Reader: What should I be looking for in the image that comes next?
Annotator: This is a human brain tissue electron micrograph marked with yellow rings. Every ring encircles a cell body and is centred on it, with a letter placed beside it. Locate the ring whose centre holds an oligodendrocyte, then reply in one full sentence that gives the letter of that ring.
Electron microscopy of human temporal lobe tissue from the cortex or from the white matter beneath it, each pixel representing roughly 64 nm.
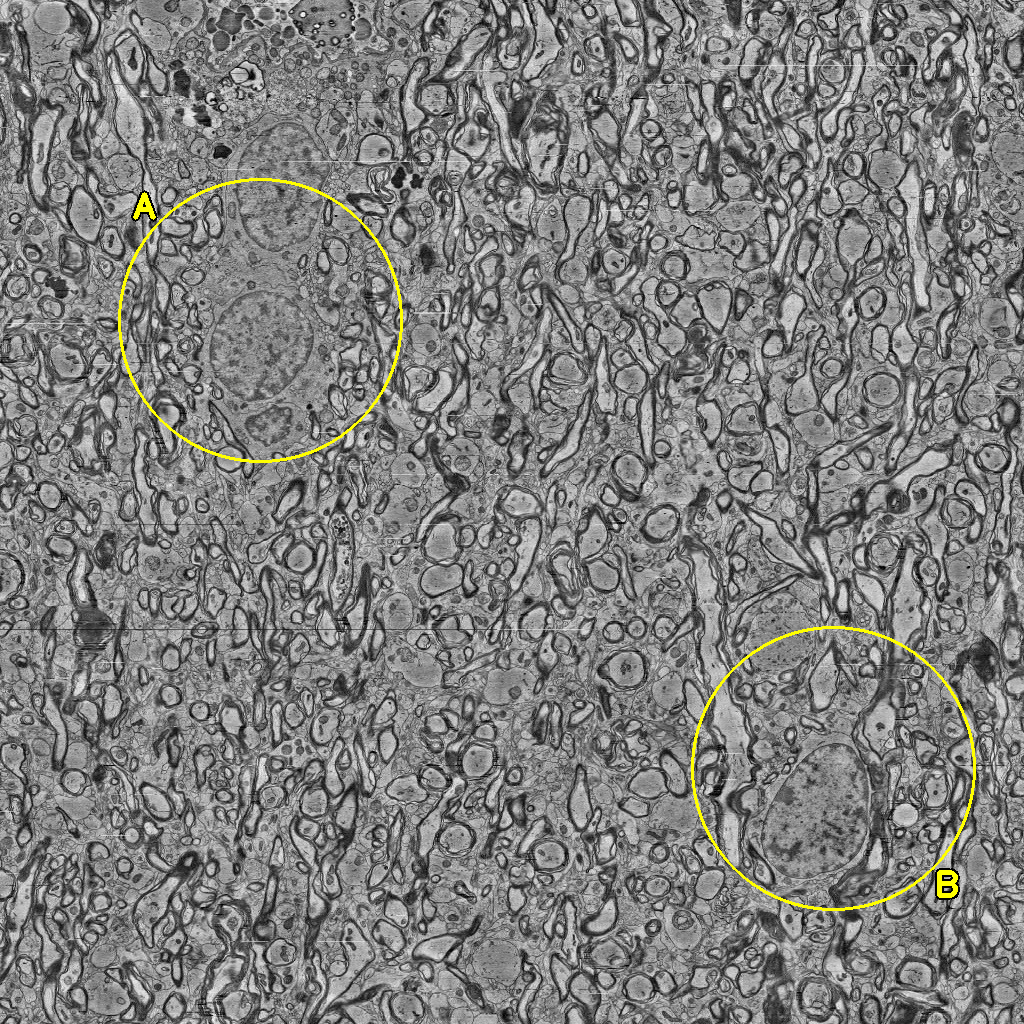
The ring centred on the cell asked for is the one labelled A.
